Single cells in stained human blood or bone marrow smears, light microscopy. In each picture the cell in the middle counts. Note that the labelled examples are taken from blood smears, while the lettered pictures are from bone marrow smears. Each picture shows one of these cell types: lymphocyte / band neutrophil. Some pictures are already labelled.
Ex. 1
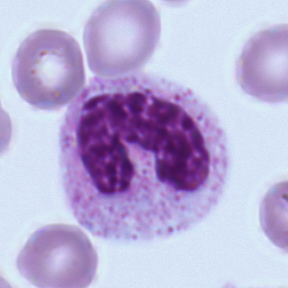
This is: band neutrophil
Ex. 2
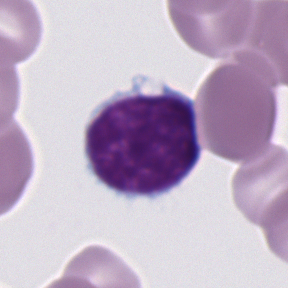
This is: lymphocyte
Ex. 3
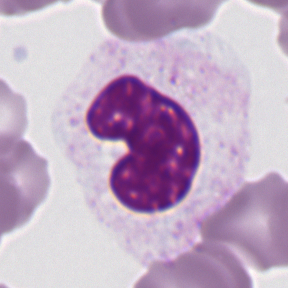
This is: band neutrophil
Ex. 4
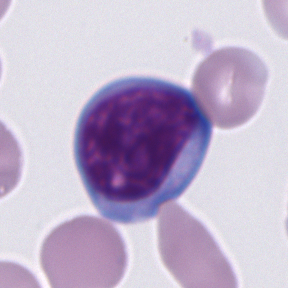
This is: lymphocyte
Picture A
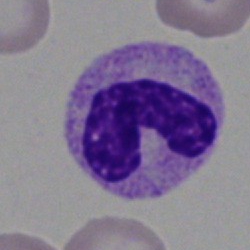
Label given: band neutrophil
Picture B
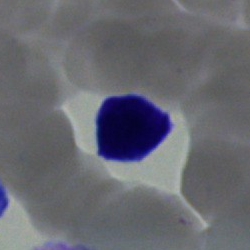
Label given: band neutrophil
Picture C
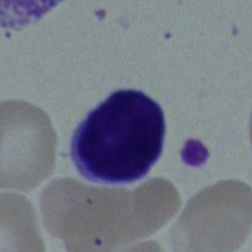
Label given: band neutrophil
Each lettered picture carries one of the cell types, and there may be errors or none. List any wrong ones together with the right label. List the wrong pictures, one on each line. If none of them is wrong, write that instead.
Wrong: B (band neutrophil); correct: lymphocyte
Wrong: C (band neutrophil); correct: lymphocyte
